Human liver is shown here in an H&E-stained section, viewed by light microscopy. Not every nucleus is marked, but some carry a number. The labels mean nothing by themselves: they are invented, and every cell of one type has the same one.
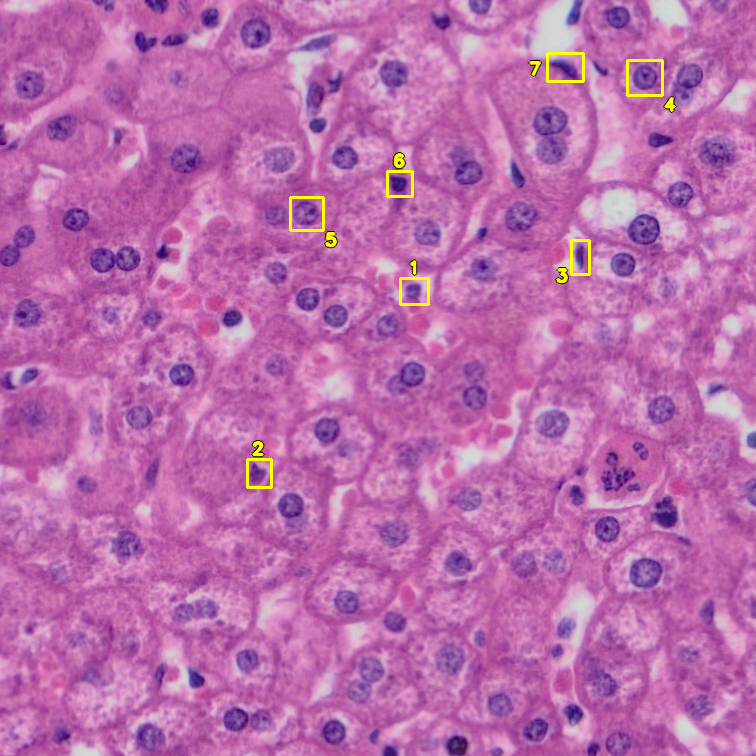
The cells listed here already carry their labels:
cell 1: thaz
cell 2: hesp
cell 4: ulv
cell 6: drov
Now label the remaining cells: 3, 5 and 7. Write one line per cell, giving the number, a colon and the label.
3: hesp
5: ulv
7: drov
